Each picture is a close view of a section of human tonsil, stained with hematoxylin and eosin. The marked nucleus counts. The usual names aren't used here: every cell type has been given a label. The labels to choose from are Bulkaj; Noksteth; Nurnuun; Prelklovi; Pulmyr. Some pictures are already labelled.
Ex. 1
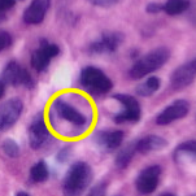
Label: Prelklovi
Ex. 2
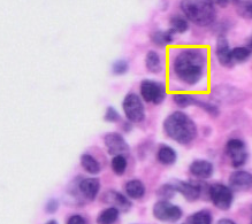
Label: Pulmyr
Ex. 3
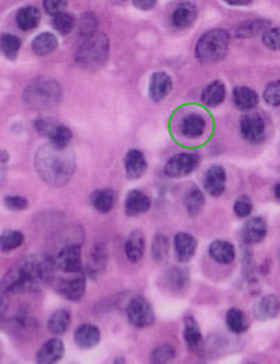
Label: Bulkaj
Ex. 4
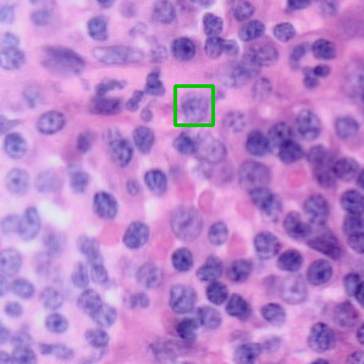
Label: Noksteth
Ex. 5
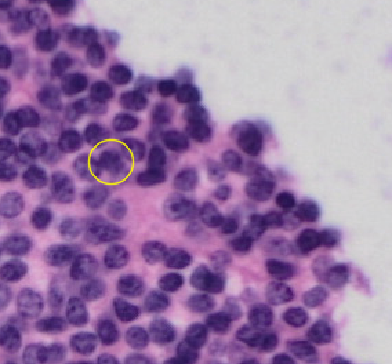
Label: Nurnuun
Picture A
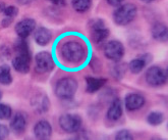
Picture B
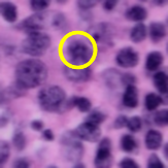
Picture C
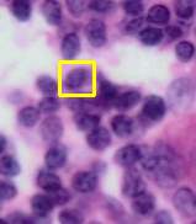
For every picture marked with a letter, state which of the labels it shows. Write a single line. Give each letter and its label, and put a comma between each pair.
A Bulkaj, B Pulmyr, C Nurnuun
